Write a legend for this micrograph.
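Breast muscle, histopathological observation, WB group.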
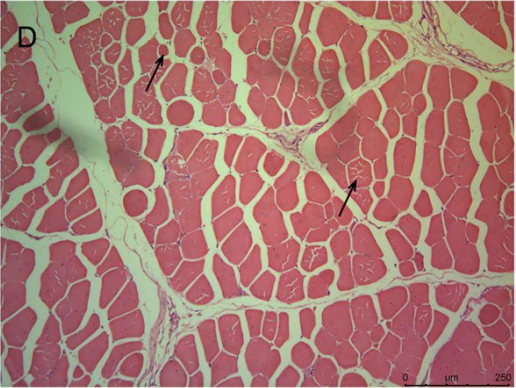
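Many fibers are rounded and separated by wide pale spaces. Some fibers show pale, fissured interiors. Broad pale septa separate the fascicles.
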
